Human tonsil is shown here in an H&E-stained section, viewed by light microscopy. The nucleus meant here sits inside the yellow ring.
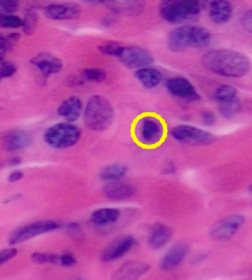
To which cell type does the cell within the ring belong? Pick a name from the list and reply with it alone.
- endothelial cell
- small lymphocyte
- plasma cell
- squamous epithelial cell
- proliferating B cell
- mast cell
mast cell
